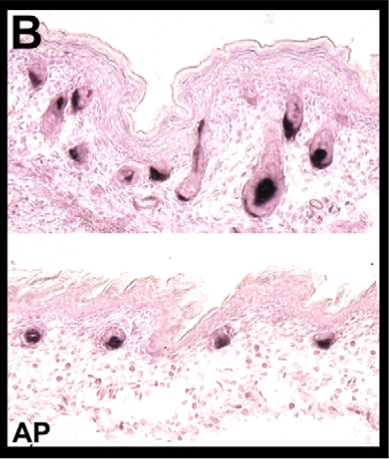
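In the upper section several hair follicles have grown down from the epidermis as elongated pegs, some reaching deep into the dermis, with a dark purple-black stain concentrated at their rounded lower ends. In the lower section the epidermis is flatter and only a few small, round, darkly stained spots sit just beneath it, with no long follicles extending into the dermis.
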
